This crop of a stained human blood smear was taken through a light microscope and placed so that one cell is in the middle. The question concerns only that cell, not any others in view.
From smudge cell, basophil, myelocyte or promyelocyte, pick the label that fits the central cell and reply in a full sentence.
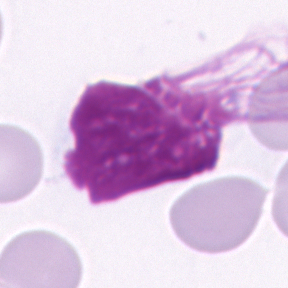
The crop's centre is taken up by a smudge cell.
